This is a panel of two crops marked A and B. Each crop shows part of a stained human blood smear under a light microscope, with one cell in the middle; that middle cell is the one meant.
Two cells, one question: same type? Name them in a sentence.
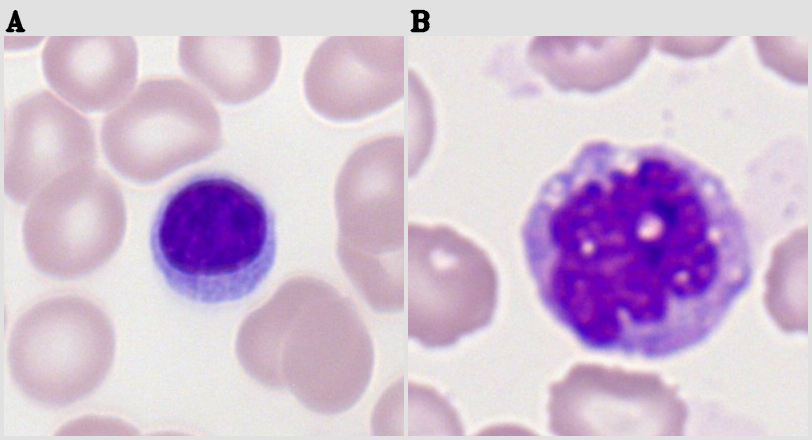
No, crop A shows a lymphocyte, with a monocyte shown in crop B.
